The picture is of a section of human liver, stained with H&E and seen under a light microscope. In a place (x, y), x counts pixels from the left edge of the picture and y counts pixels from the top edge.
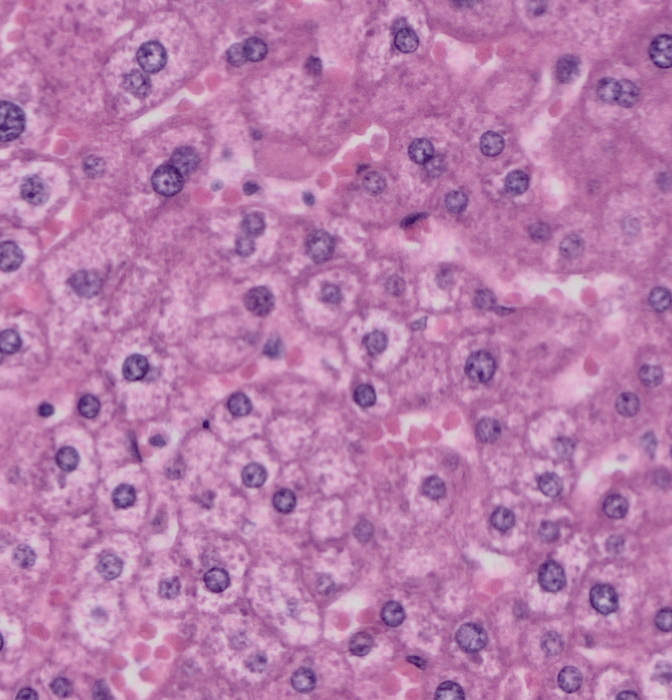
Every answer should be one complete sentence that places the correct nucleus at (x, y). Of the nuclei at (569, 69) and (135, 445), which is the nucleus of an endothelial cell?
Of the two nuclei, the nucleus belonging to an endothelial cell is located at (135, 445).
